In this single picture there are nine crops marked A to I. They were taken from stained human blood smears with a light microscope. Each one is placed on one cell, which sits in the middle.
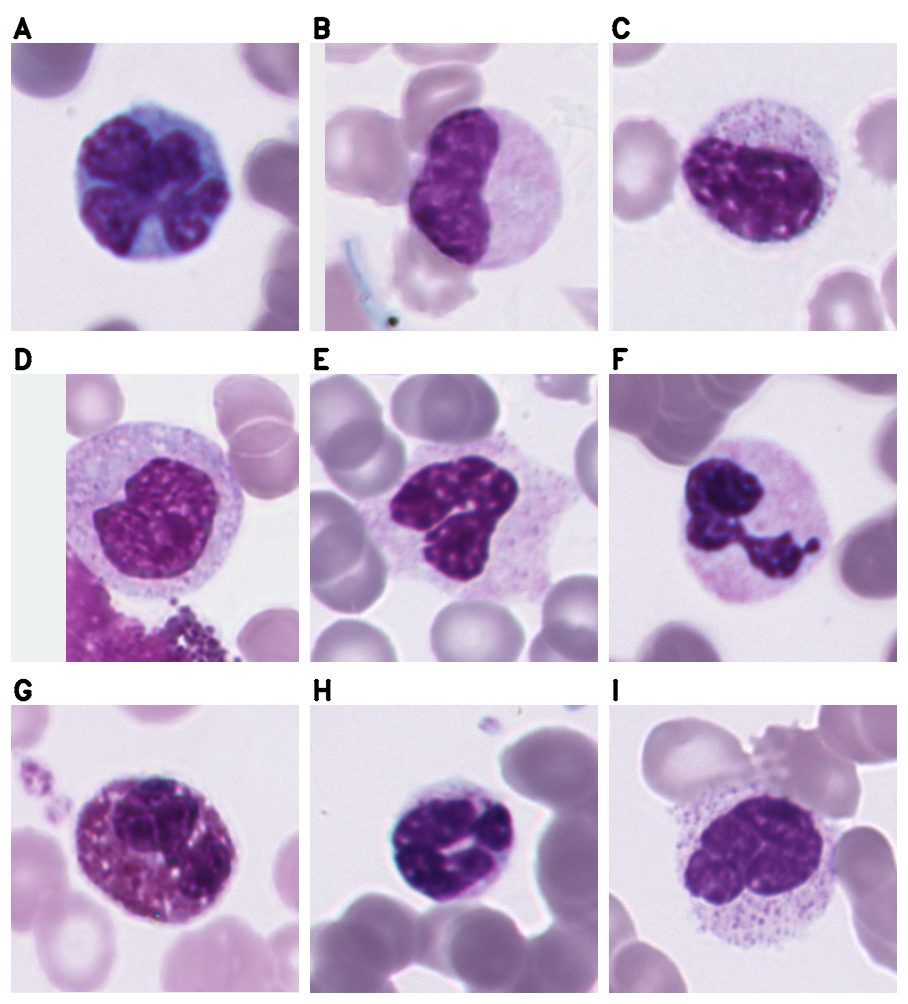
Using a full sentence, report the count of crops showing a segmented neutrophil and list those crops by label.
Those crops showing segmented neutrophils, four in all, are E, F, H and I.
